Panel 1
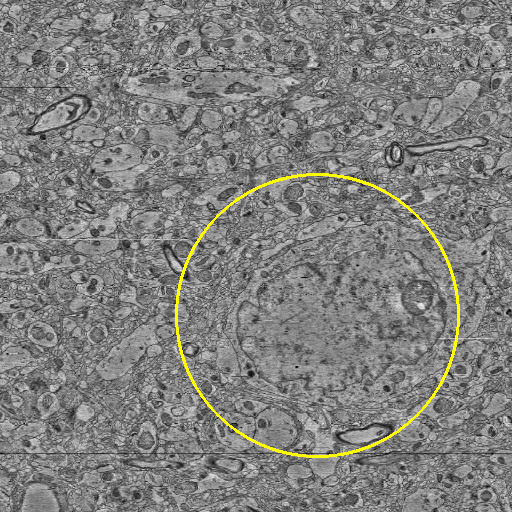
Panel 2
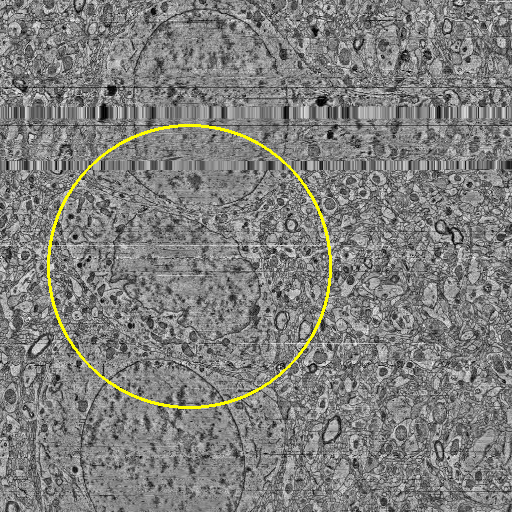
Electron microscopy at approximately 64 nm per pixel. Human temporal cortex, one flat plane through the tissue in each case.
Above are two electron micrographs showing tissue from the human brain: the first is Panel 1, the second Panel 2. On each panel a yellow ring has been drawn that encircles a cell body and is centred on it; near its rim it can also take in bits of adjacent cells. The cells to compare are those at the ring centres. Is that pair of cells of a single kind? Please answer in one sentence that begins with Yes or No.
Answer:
Yes, the ring-centred cells of Panel 1 and Panel 2 belong to one kind.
